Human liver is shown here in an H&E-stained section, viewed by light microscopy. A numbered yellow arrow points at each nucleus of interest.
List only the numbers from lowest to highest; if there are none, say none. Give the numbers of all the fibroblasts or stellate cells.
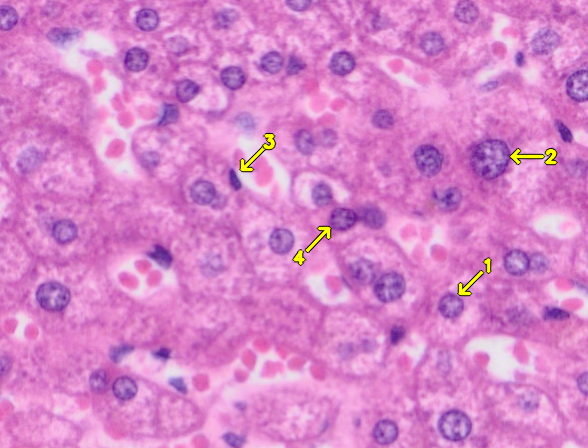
3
